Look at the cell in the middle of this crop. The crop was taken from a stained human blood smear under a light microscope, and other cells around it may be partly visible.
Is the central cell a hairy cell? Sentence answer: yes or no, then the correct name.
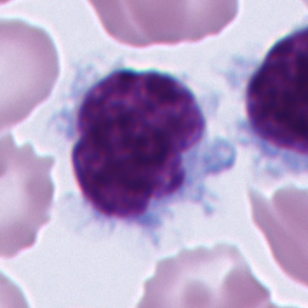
Yes, a hairy cell is the cell positioned in the middle of the field.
